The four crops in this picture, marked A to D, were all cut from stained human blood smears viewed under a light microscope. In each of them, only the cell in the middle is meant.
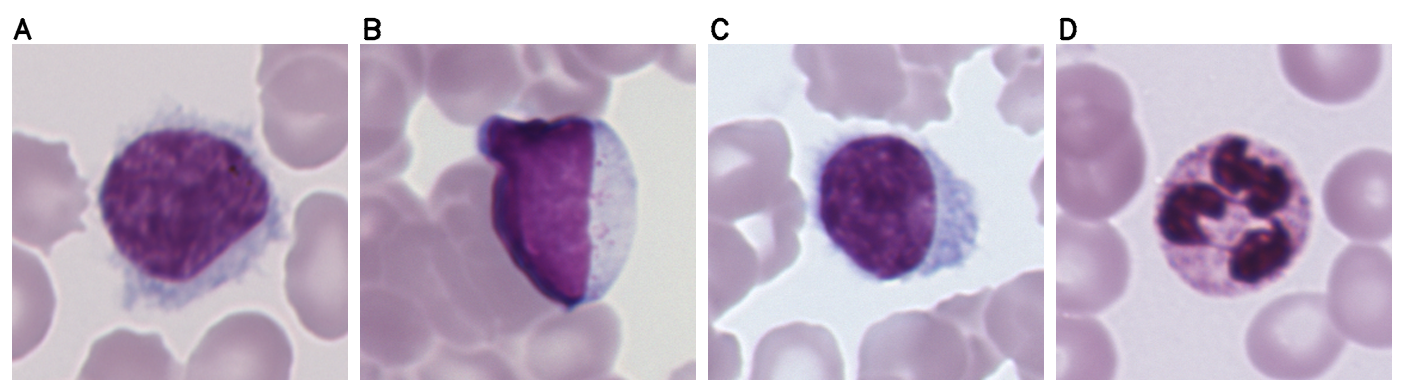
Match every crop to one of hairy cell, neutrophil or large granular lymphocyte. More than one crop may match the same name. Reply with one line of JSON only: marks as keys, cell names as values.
{"A": "hairy cell", "B": "large granular lymphocyte", "C": "hairy cell", "D": "neutrophil"}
